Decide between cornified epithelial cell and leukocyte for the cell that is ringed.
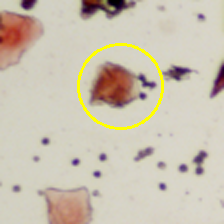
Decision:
I take the ringed cell for a cornified epithelial cell.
